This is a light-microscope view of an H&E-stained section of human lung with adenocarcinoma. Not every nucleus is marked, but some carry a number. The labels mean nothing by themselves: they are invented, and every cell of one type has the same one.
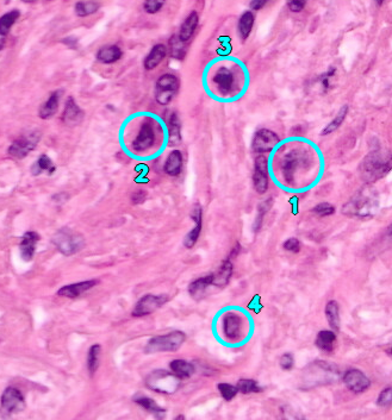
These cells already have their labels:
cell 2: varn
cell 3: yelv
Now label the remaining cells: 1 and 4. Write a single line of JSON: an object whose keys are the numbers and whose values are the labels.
{"1": "varn", "4": "varn"}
